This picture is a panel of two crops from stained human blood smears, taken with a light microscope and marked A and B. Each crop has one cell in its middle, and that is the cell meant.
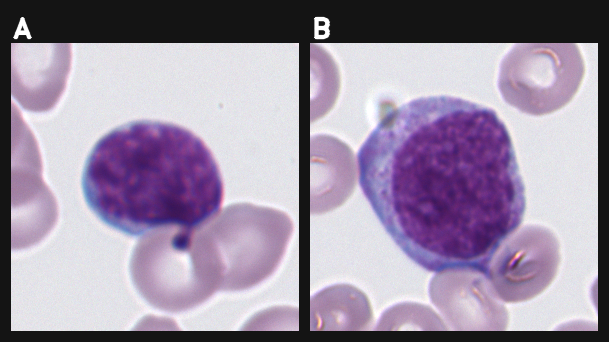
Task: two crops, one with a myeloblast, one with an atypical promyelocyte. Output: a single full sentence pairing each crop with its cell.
Crop A is occupied by a myeloblast, and crop B is occupied by an atypical promyelocyte.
